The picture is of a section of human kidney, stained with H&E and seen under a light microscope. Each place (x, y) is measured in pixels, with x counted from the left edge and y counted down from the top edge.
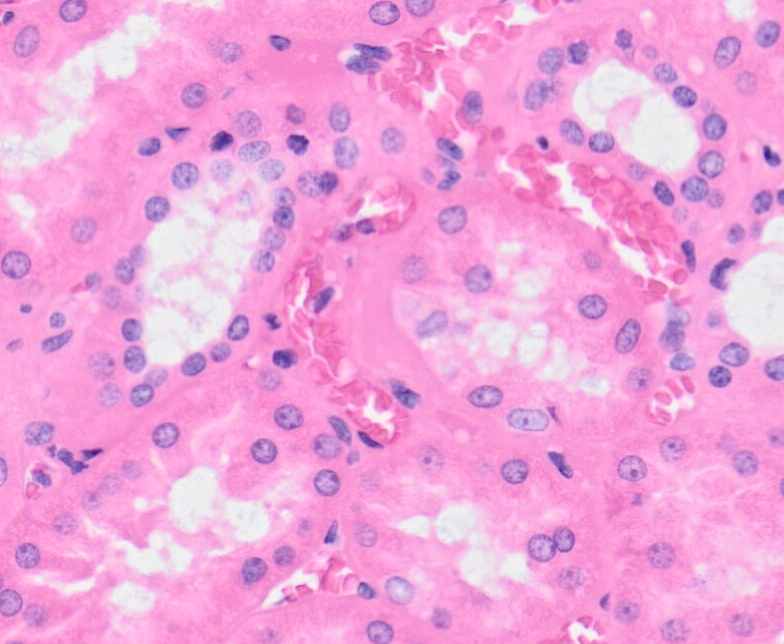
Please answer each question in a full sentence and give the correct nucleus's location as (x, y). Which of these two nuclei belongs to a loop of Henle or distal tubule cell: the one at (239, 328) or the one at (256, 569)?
The nucleus at (239, 328) is attributed to a loop of Henle or distal tubule cell, unlike the other nucleus.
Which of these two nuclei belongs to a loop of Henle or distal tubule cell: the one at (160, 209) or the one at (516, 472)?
Between the pair, the nucleus at (160, 209) belongs to a loop of Henle or distal tubule cell.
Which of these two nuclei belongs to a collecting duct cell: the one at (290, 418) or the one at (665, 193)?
Of the two nuclei present, the one at (665, 193) is within a collecting duct cell.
